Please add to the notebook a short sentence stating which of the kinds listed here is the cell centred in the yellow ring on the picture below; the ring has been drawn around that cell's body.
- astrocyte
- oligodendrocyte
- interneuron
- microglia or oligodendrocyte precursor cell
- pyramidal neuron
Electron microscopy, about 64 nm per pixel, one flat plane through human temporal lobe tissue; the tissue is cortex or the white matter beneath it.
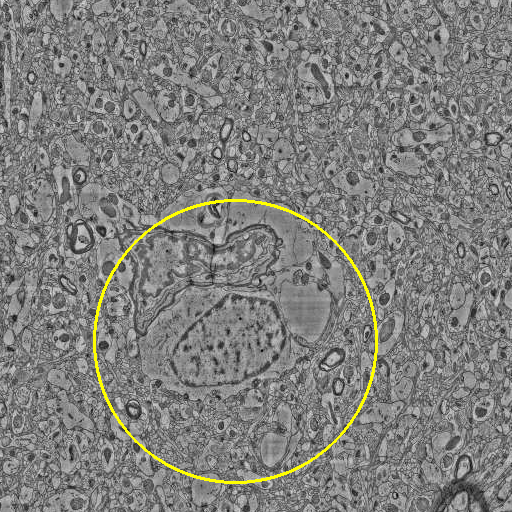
The cell centred in the yellow ring is a microglial cell or oligodendrocyte precursor cell.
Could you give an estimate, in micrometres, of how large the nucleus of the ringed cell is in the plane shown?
The nucleus of the ringed cell is approximately 8 by 5 micrometres in this plane.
